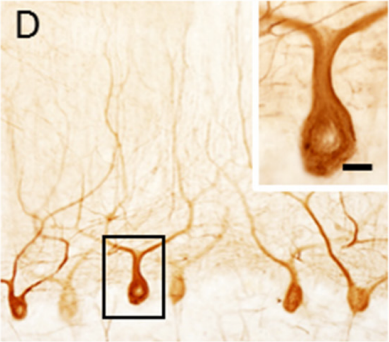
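This is cerebellar cortex in which large Purkinje-type neurons stand out in brown against an unstained background. Their flask-shaped cell bodies lie in a single row near the bottom of the field, spaced irregularly. The inset shows one enlarged cell body with a paler nucleus and the thick dendrite leaving its apex and dividing.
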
